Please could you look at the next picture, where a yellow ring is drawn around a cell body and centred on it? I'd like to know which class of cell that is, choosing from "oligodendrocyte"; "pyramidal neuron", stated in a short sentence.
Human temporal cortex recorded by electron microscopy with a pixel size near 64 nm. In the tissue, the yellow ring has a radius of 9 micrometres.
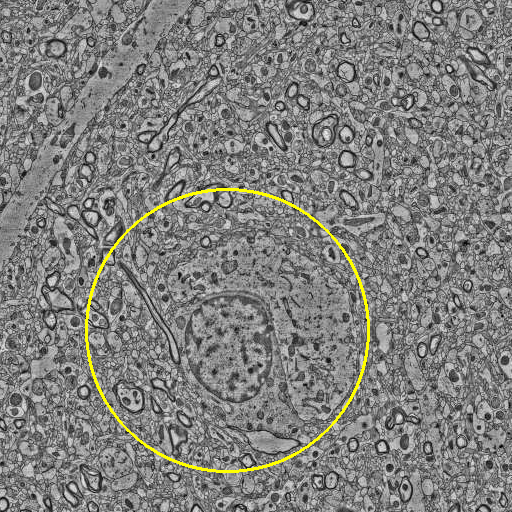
The ring's centre lies on an oligodendrocyte.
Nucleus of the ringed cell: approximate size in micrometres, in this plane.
The nucleus comes to roughly 7 by 6 micrometres in this plane.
